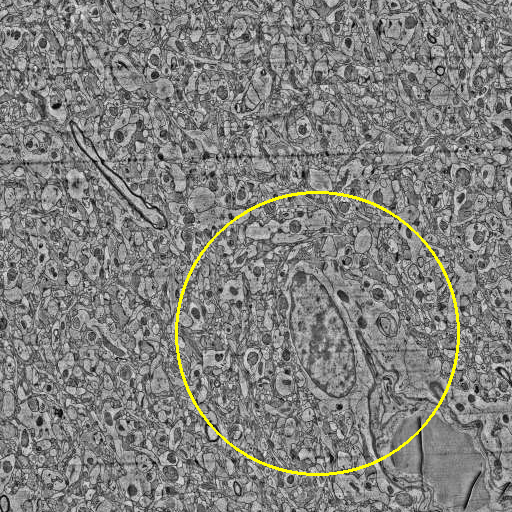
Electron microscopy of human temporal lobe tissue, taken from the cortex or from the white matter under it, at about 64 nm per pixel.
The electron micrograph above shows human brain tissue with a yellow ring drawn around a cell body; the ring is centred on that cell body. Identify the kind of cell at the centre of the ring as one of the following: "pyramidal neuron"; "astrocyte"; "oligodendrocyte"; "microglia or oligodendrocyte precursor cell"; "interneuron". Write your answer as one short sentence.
The cell at the centre of the ring is a microglial cell or oligodendrocyte precursor cell.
